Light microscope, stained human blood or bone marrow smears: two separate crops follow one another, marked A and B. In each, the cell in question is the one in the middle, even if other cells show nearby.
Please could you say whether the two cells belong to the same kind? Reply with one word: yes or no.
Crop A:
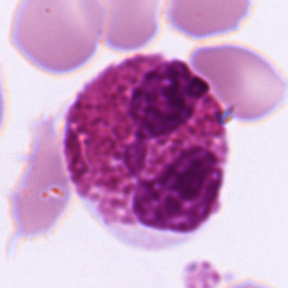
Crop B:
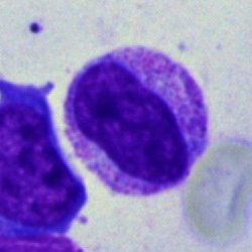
no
